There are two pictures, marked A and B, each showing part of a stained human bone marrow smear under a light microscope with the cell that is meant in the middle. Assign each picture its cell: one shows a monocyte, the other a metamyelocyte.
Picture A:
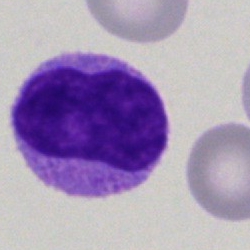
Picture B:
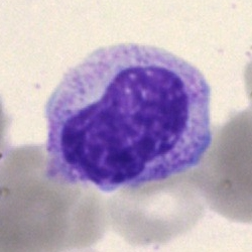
A: monocyte
B: metamyelocyte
